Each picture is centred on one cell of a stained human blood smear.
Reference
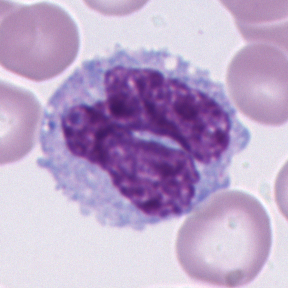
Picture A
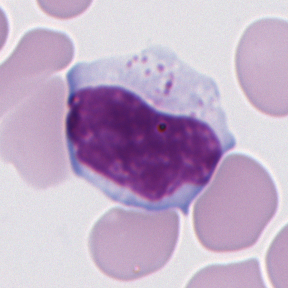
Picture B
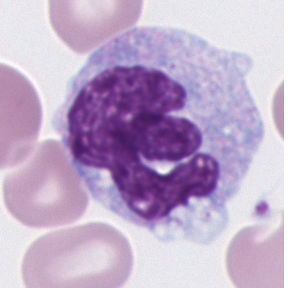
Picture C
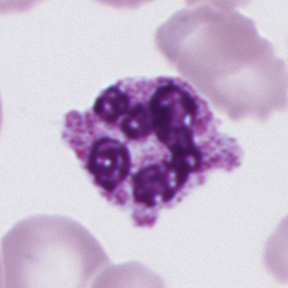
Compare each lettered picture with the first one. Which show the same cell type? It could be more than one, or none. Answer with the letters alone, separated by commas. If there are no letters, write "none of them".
B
